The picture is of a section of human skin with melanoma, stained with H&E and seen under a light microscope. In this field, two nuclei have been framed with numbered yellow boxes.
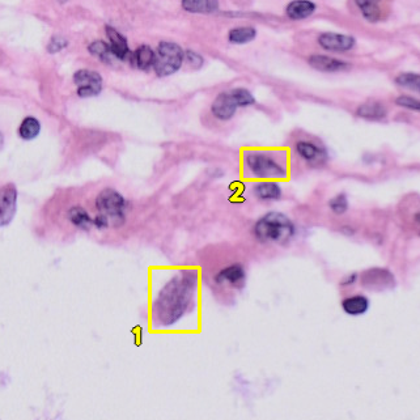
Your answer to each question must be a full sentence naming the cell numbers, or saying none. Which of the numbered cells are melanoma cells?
Of the cells marked with numbers, cell 1 is the only one that is a melanoma cell.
